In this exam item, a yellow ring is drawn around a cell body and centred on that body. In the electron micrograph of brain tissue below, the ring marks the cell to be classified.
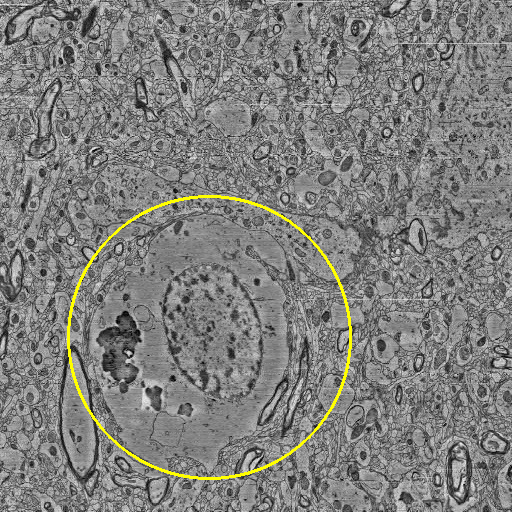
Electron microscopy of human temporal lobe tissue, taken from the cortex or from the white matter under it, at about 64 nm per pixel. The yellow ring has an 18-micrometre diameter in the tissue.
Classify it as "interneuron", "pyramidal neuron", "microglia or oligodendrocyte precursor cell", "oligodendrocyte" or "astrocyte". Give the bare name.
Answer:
astrocyte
